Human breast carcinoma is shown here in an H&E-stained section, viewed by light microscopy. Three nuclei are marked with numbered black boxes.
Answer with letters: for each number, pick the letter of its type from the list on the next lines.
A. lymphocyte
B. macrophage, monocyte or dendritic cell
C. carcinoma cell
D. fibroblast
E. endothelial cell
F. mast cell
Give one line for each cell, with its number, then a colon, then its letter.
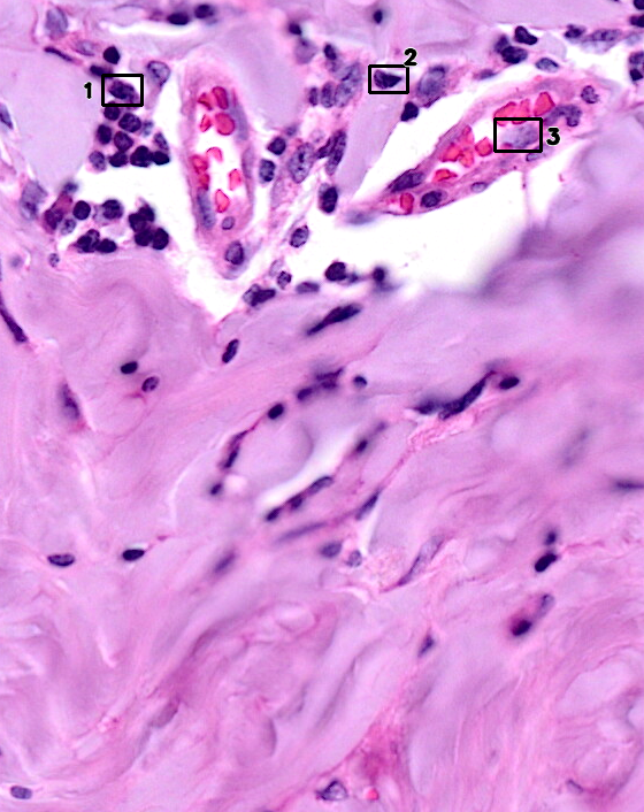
1: A
2: A
3: E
